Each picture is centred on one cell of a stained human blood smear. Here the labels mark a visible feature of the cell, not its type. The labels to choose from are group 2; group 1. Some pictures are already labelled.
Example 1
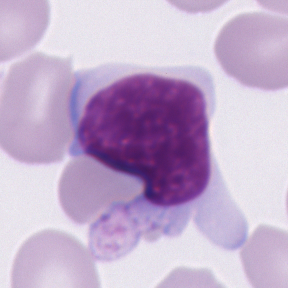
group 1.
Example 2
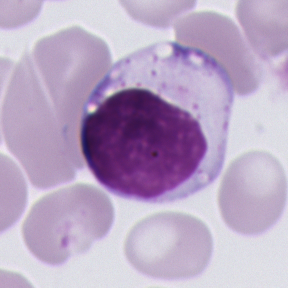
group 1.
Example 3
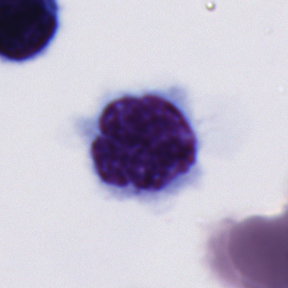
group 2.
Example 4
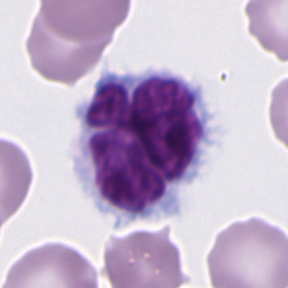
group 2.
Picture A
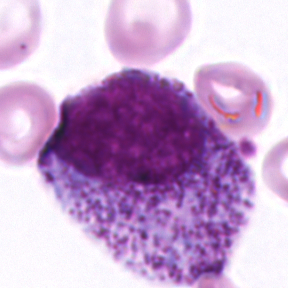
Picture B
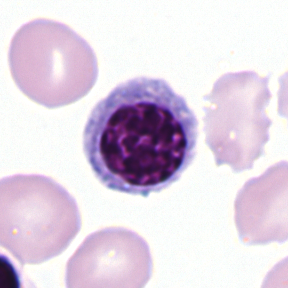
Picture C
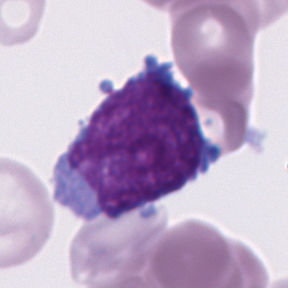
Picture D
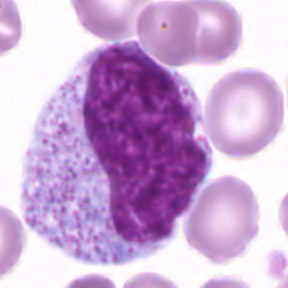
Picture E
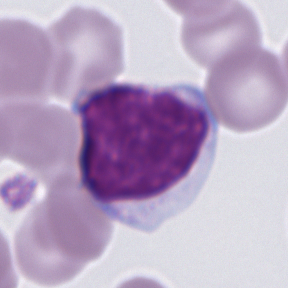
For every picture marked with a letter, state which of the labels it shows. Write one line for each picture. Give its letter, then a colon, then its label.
A: group 1.
B: group 2.
C: group 2.
D: group 1.
E: group 2.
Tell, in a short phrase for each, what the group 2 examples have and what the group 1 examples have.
group 2: scant cytoplasm; group 1: abundant cytoplasm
